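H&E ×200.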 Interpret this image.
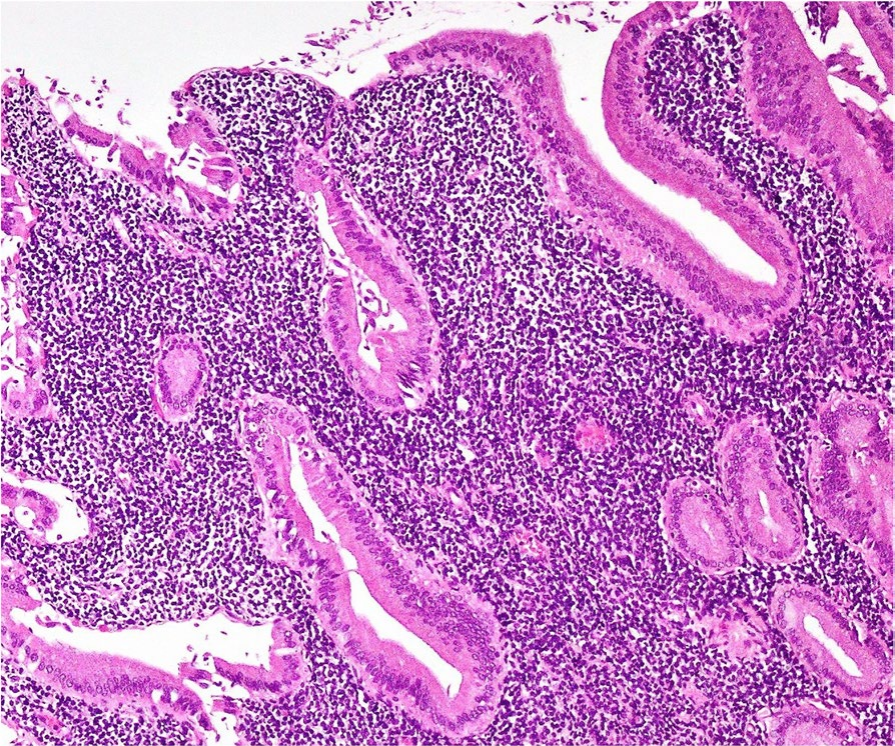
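The lamina propria is replaced by a dense, diffuse infiltrate of small to medium sized lymphoid cells with round, dark purple nuclei and scant cytoplasm. Scattered crypts lie trapped within this infiltrate, widely separated from one another.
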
